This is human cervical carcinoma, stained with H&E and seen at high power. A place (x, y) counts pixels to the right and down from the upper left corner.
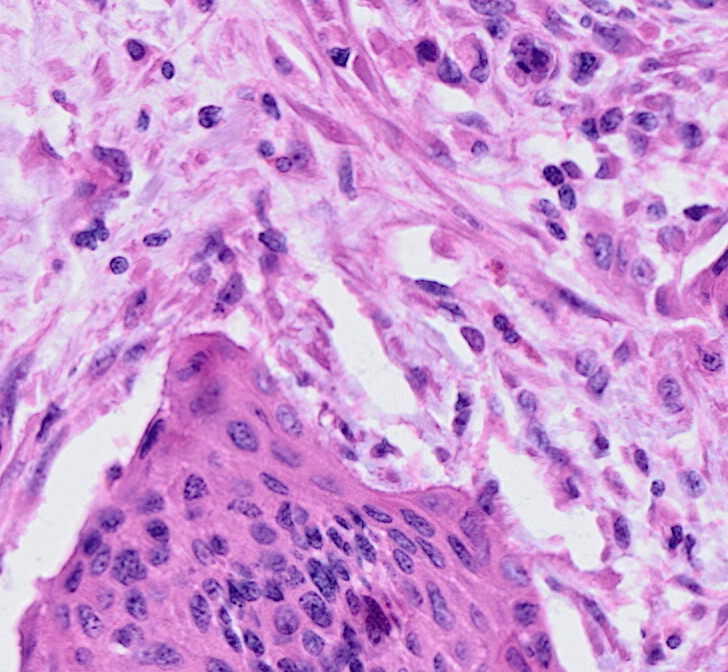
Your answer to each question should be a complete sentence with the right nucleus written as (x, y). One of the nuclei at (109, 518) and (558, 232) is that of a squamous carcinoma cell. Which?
The nucleus of the pair that lies within a squamous carcinoma cell is at (109, 518).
